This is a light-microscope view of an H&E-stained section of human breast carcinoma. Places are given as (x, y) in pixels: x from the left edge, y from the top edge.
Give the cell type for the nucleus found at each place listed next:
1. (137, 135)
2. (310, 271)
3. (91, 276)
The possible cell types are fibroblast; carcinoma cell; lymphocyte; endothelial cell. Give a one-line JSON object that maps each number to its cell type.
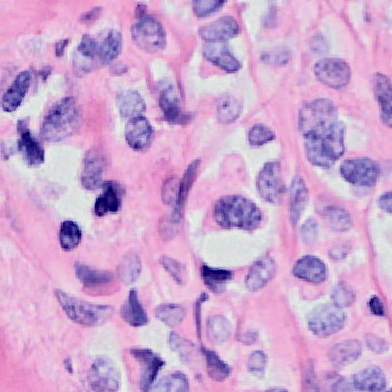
{"1": "carcinoma cell", "2": "carcinoma cell", "3": "endothelial cell"}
